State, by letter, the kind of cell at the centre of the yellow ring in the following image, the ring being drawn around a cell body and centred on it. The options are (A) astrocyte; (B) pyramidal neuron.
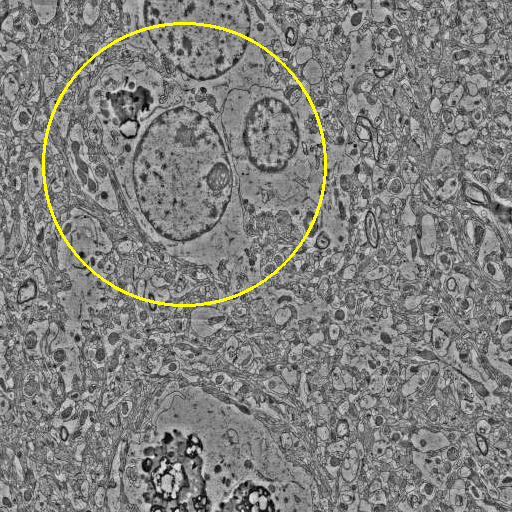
A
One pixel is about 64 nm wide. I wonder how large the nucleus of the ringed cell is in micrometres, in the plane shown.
In this plane, the nucleus is roughly 8 by 6 micrometres.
